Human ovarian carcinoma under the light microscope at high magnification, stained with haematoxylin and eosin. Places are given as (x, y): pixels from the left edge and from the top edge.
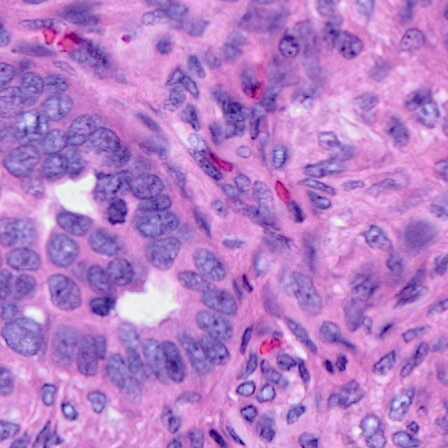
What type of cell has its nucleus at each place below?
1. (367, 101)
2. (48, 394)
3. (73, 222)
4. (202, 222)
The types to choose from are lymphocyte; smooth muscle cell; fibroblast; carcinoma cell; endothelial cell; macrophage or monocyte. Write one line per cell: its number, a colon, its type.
1: fibroblast
2: fibroblast
3: carcinoma cell
4: fibroblast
